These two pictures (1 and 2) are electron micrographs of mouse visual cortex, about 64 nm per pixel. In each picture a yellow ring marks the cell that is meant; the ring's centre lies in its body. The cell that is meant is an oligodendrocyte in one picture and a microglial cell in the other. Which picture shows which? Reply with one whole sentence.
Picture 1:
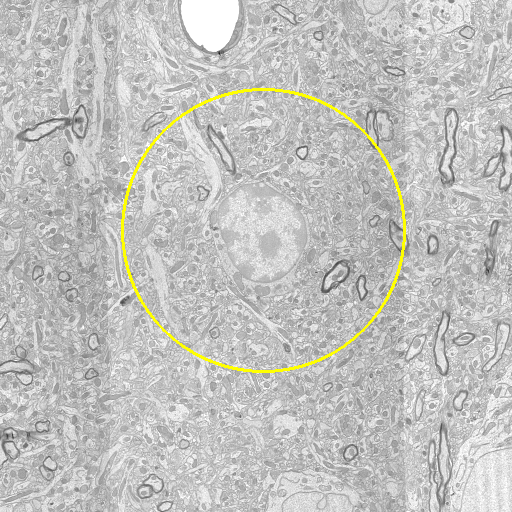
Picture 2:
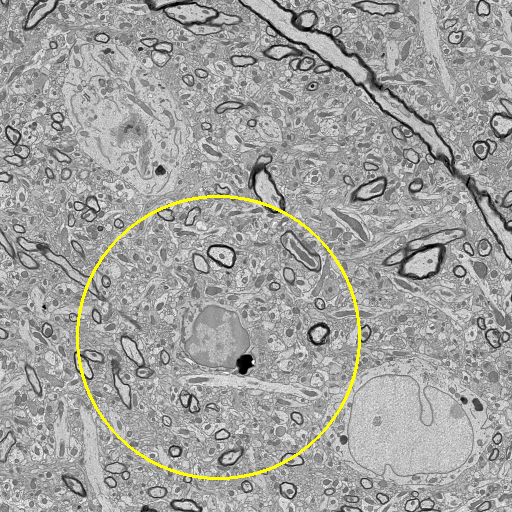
Picture 1 shows an oligodendrocyte and picture 2 shows a microglial cell.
